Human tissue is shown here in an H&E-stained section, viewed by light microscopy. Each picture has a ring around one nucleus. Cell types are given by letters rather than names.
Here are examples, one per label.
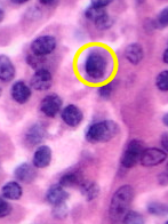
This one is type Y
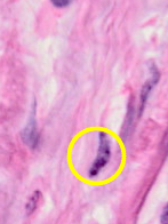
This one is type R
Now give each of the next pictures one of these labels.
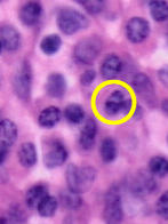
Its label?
type Y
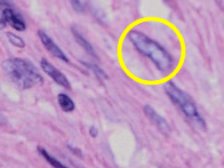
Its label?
type R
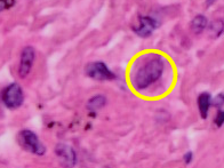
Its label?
type Y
